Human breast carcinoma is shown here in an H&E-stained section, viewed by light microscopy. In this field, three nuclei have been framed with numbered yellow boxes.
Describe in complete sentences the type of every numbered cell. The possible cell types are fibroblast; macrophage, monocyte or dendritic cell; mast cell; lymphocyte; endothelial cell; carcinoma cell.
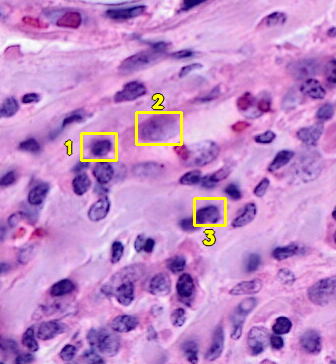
Cell 1 is a lymphocyte, cell 2 is an endothelial cell and cell 3 is a lymphocyte.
